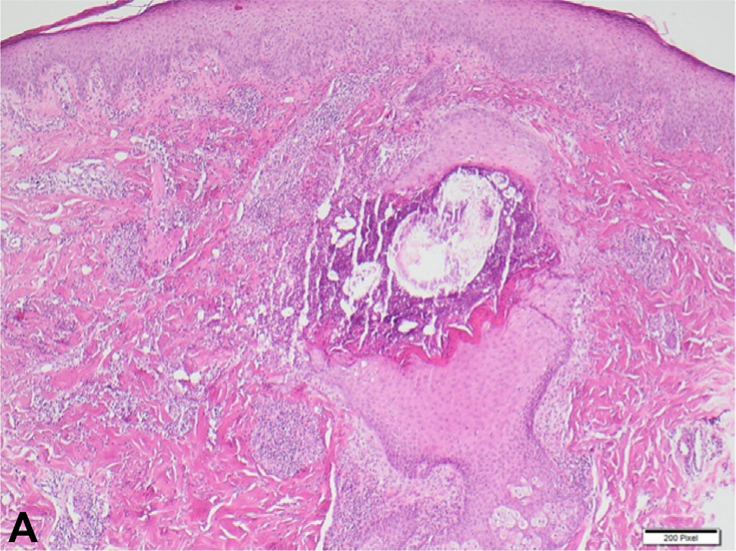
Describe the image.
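Skin at low magnification showing abscessing folliculitis and perifolliculitis. A thick epidermis covers the top. In the upper dermis a hair follicle, lined by pale pink stratified squamous epithelium, contains a dark purple mass of densely packed inflammatory cells surrounding pale, fragmented keratinous material. The follicular wall is thin and partly disrupted beside this collection. The surrounding dermis of pink collagen bundles holds several patchy, darker clusters of inflammatory cells around the follicle and small vessels, and small clear spaces are scattered through it. Sebaceous lobules with pale, bubbly cells appear near the lower follicle.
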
